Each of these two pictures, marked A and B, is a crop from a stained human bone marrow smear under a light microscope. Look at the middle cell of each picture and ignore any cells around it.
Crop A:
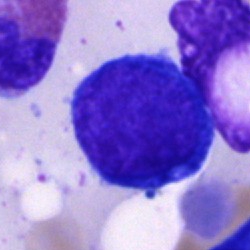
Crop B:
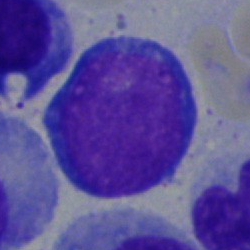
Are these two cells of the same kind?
yes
